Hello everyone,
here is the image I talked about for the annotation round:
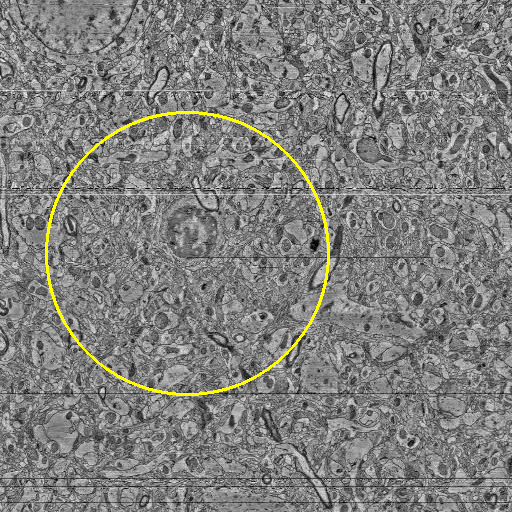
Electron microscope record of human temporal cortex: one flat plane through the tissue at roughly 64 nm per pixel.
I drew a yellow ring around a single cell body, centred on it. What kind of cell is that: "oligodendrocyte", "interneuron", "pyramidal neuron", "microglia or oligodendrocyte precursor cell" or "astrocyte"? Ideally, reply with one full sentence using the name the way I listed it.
The cell your yellow ring is centred on is an oligodendrocyte, going by your list.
